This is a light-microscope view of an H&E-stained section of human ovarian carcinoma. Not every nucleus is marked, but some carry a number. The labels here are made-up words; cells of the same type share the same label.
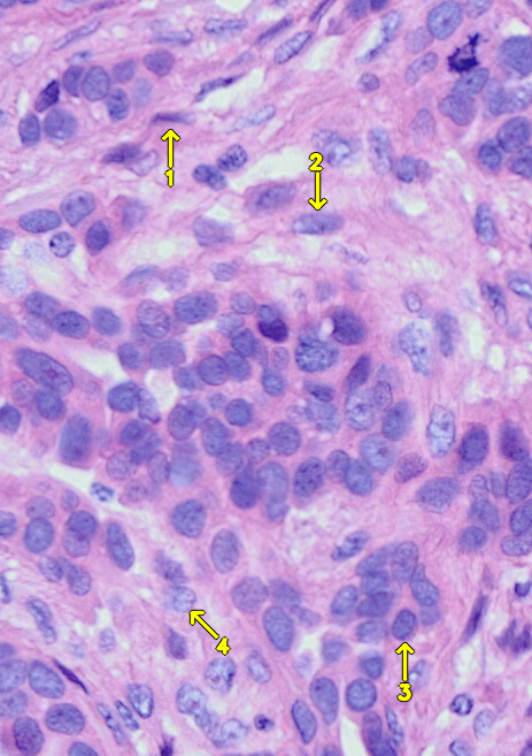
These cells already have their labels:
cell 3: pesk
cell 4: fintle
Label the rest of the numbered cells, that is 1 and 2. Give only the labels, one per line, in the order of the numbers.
fintle
fintle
